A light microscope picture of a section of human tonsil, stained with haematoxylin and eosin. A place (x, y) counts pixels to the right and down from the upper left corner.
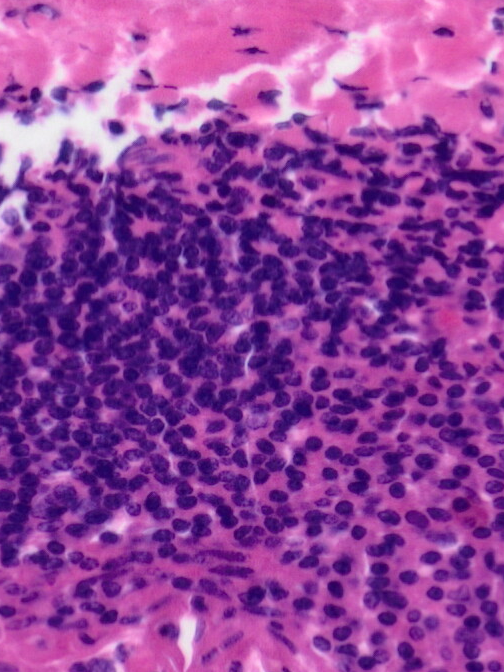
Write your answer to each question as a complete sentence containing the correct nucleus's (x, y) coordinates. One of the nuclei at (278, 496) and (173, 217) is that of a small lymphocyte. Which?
The nucleus at (173, 217) is part of a small lymphocyte, while the other is not.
